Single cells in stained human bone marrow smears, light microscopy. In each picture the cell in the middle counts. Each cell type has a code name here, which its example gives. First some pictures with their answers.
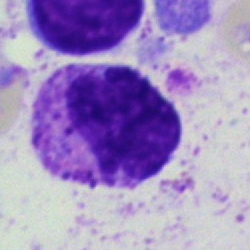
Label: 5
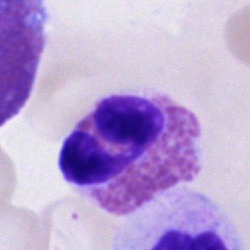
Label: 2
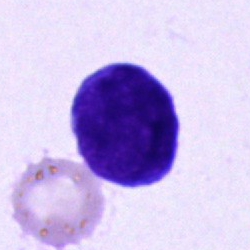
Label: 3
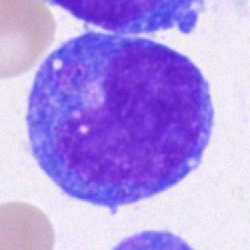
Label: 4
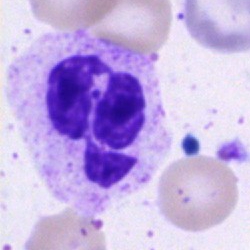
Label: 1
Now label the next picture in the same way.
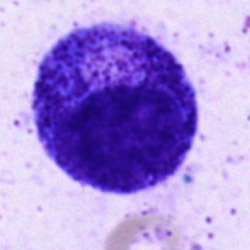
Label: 4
